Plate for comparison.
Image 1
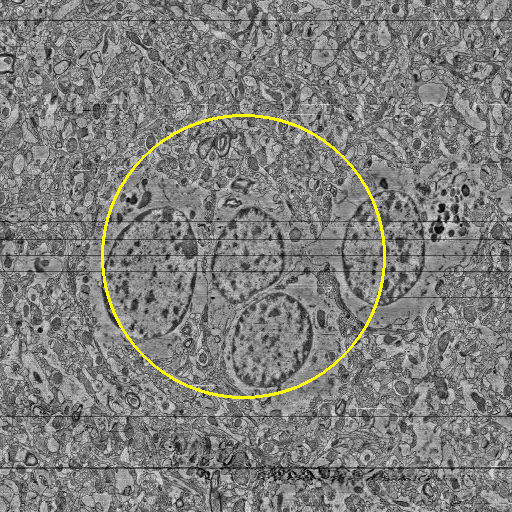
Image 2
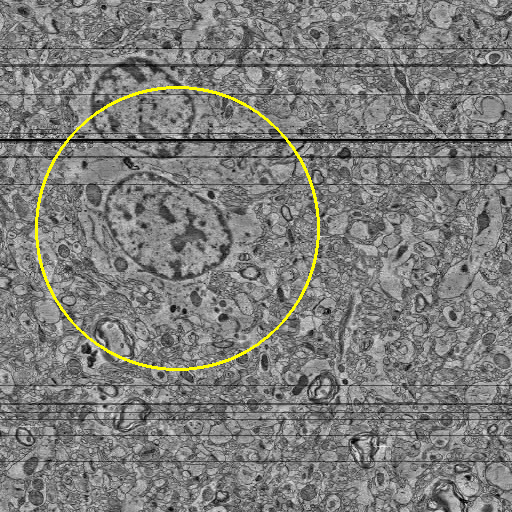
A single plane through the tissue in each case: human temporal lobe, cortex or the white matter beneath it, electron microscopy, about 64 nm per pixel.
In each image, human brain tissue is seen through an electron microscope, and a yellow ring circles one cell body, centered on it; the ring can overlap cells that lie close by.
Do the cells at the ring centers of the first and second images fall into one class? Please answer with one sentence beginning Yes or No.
Yes, the first and second images show a single class of cell at the ring centers.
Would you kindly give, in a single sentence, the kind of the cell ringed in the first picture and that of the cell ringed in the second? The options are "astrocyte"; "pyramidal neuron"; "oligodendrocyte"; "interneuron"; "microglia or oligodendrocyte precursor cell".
Both cells are the same kind, each one being an astrocyte.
